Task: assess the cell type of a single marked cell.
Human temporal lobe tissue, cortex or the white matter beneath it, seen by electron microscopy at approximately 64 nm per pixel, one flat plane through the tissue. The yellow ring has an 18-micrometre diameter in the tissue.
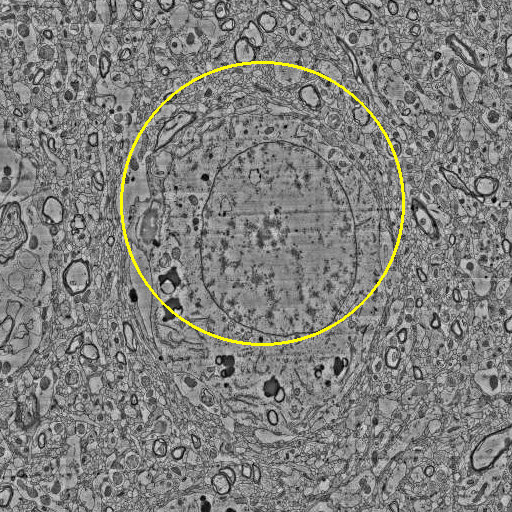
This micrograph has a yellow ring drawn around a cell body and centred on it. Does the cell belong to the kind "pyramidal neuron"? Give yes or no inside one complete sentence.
Yes, the marked cell at the centre of the ring belongs to that kind.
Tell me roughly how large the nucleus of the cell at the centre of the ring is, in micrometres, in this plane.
In this plane the nucleus is about 13 micrometres by 10.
